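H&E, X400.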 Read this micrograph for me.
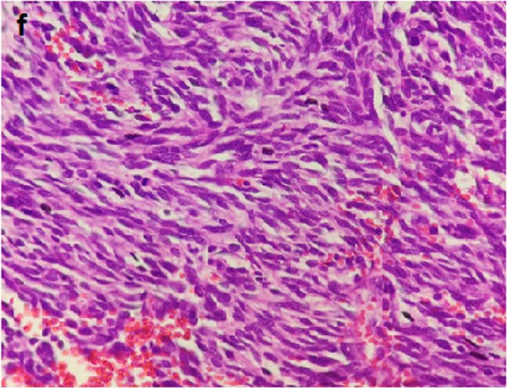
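Densely packed spindle cells with elongated to oval, dark purple nuclei and scant pink cytoplasm, arranged in short intersecting fascicles. Clusters of red blood cells lie between the cells, especially at the lower and left edges.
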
